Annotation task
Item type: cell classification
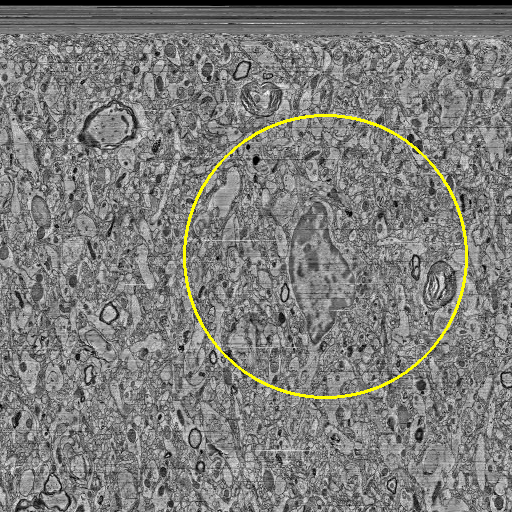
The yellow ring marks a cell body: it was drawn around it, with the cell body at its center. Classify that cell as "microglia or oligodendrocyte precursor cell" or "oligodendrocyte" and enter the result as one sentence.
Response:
The ring's center falls on a microglial cell or oligodendrocyte precursor cell.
